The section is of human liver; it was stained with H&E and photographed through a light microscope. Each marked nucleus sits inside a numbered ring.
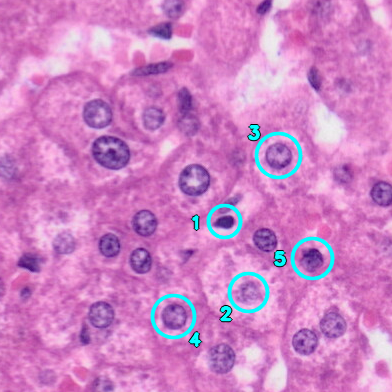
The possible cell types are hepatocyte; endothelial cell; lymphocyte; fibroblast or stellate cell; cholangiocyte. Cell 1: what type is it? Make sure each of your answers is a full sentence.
Here the cell numbered 1 is a lymphocyte.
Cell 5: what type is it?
The cell marked with the number 5 is an endothelial cell.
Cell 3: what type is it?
The mark numbered 3 indicates the nucleus of a hepatocyte.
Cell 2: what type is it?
The cell pointed out as number 2 is a hepatocyte.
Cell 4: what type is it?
What the number 4 marks in this field is a hepatocyte.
